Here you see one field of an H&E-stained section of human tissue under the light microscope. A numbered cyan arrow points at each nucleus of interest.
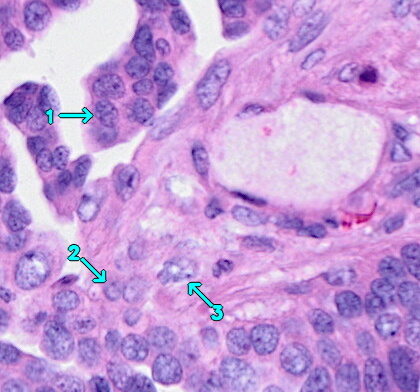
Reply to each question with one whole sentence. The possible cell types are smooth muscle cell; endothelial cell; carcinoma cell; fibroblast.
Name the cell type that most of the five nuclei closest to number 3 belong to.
Most of the five nuclei nearest to number 3 are those of fibroblasts.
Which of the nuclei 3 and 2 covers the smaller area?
Nucleus 2 covers less area, with nucleus 3 about 2 times as large.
